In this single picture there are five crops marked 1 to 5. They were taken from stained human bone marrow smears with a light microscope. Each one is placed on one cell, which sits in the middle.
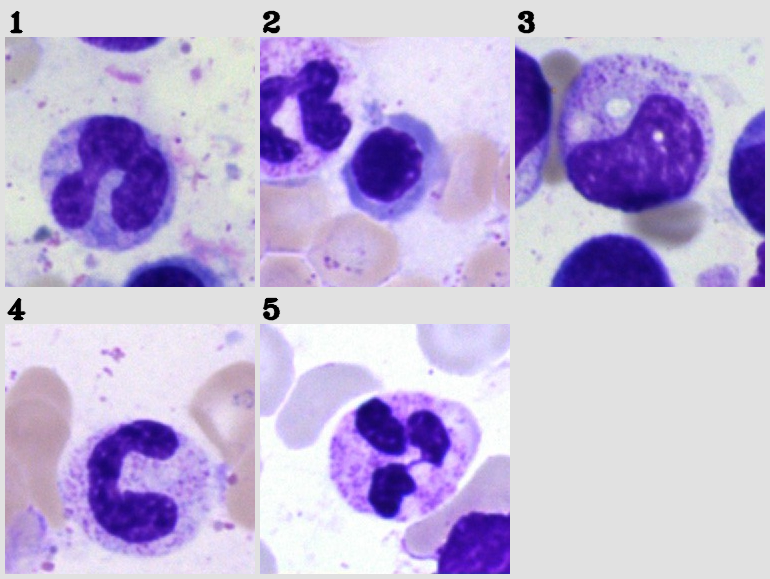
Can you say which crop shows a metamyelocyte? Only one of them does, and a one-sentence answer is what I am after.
Identified crop: 3, the one that shows a metamyelocyte.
